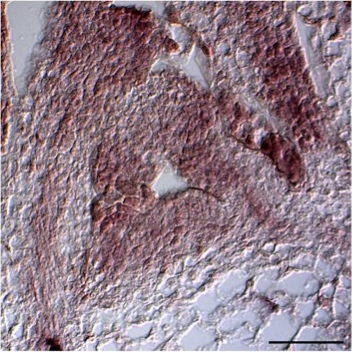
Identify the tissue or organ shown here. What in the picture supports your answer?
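Meristem. A central dome of small, densely packed cells. Larger, paler, vacuolated cells lie below the dome. Outgrowths flank the dome on both sides.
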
